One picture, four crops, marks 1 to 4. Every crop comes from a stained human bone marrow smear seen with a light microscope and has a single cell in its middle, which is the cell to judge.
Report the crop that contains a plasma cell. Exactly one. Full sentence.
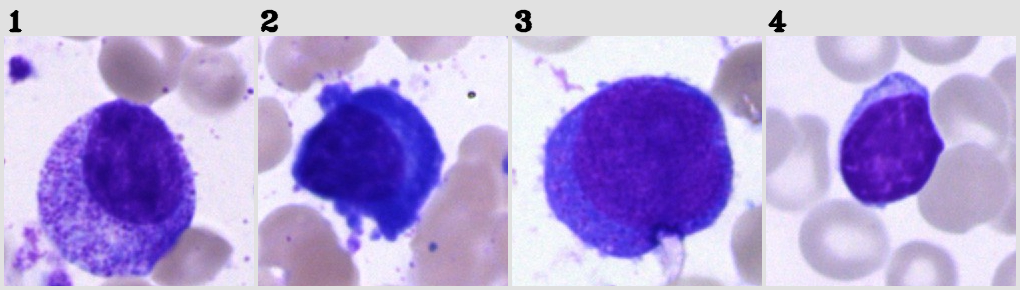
Crop 2 is identified as the crop showing a plasma cell.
